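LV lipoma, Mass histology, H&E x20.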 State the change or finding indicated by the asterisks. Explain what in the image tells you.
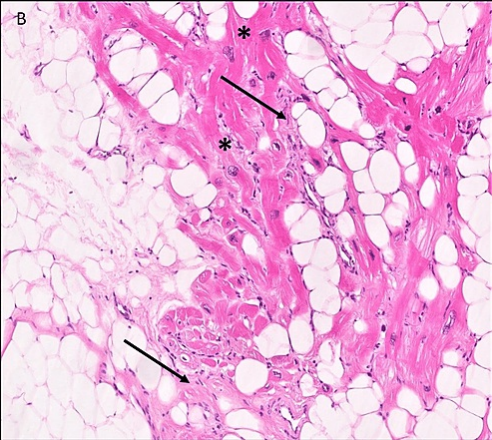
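The muscle cells near the asterisks are broad with abundant pink cytoplasm. Some of their nuclei are large. On this evidence: hypertrophy.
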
